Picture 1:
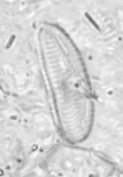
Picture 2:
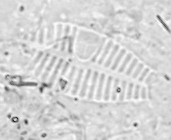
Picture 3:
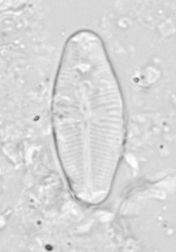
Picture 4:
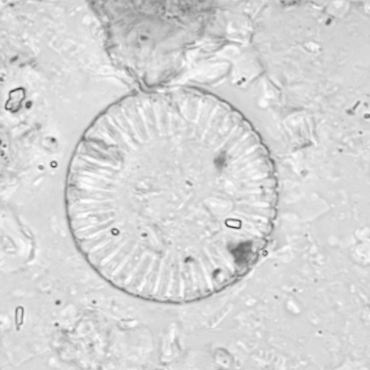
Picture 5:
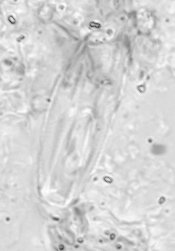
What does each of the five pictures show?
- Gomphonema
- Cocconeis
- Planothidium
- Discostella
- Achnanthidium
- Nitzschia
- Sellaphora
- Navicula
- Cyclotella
Picture 1: Achnanthidium
Picture 2: Planothidium
Picture 3: Sellaphora
Picture 4: Cyclotella
Picture 5: Cocconeis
